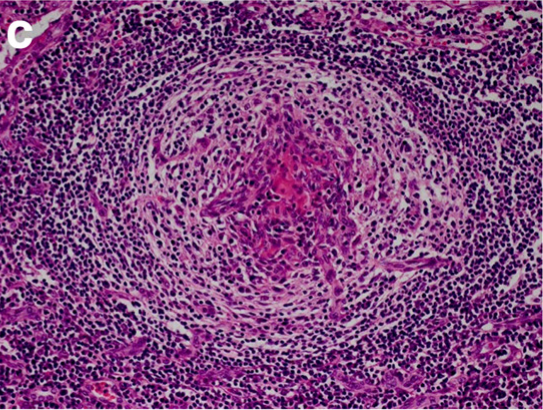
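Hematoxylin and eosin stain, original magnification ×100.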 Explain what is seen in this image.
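This shows a lymphoid follicle whose centre is surrounded by a broad mantle of small lymphocytes. The lymphocytes have small, round, dark purple nuclei with scant cytoplasm and are lined up in concentric rings, like the layers of an onion, around the centre. The centre is pale and contains elongated spindle-shaped cells and small vessels. In the middle of it lies pink, glassy hyalinized material, giving a picture of hyalinized vascular proliferation within the germinal centre. Small vessels also run through the surrounding lymphoid tissue.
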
